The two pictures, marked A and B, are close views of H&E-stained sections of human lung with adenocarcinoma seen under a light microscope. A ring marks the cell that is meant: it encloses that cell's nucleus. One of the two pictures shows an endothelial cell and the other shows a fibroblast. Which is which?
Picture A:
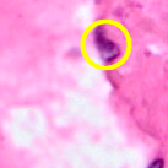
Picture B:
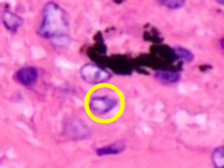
A: endothelial cell
B: fibroblast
